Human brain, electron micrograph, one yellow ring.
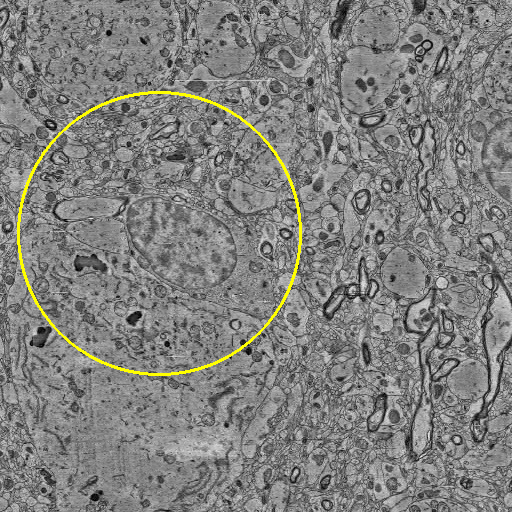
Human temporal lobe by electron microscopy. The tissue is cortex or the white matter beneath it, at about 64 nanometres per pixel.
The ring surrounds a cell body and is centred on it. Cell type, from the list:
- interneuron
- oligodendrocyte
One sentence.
The yellow ring circles an oligodendrocyte.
